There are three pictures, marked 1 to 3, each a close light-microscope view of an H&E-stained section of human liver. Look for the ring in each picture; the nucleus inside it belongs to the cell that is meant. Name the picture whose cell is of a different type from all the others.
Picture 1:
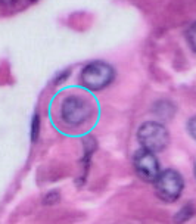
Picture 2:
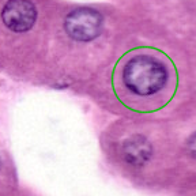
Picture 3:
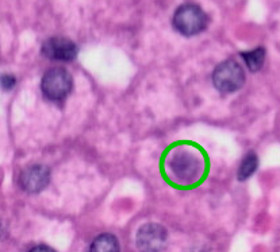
1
